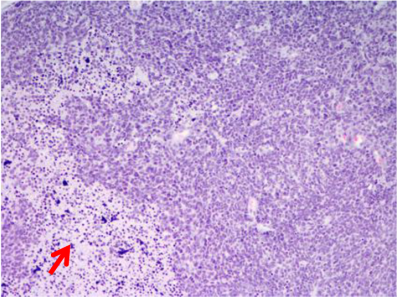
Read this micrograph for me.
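This low-power view shows a tumor made largely of dense, continuous sheets of small cells with dark purple nuclei. There is no clear nodular arrangement of pale and dark zones across most of the field. At the lower left, a paler zone contains many scattered, small, dark fragments instead of intact packed cells, consistent with an area of necrosis. The tissue overall looks more uniformly crowded and disorganised.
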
